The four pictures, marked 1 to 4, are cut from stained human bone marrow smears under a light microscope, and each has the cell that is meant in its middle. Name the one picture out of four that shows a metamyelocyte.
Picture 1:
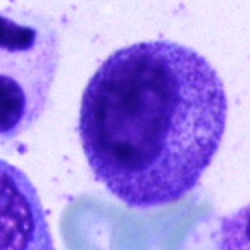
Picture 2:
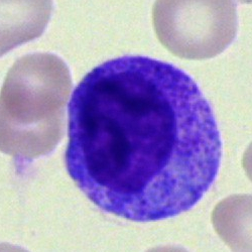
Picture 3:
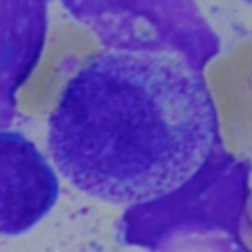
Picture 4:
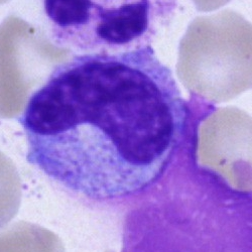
4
